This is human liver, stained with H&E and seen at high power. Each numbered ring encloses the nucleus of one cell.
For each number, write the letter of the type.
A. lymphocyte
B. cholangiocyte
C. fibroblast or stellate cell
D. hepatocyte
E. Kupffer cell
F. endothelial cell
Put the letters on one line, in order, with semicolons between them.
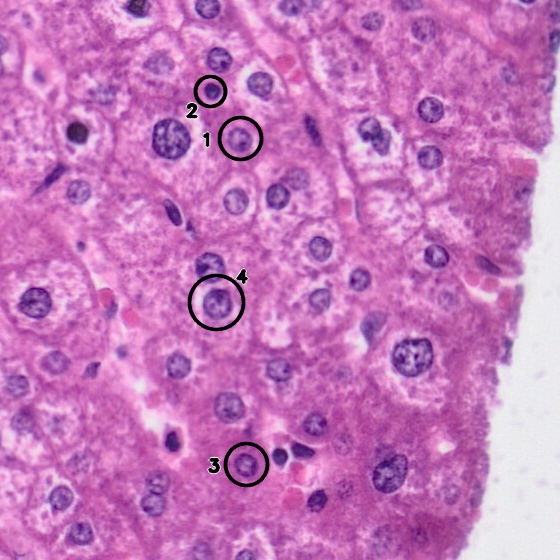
D; A; D; D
